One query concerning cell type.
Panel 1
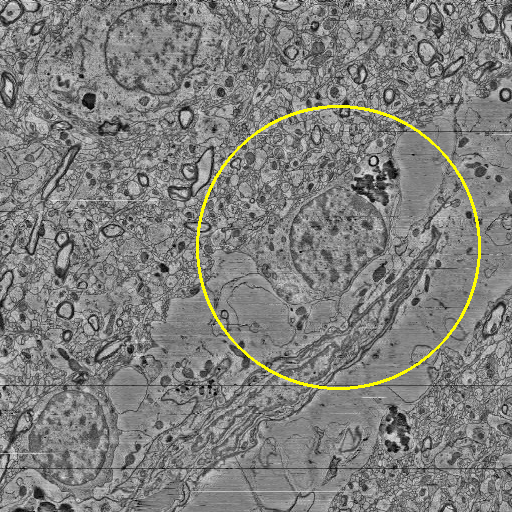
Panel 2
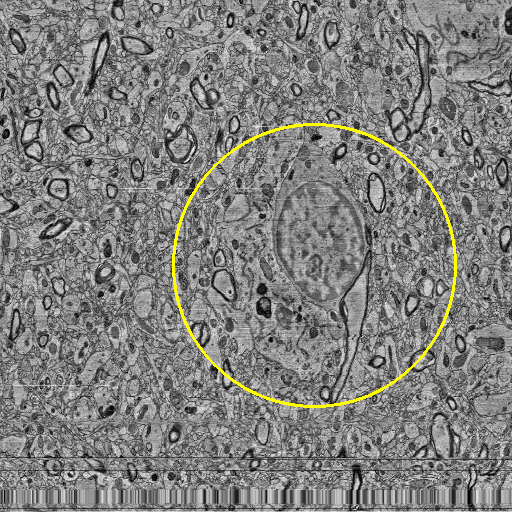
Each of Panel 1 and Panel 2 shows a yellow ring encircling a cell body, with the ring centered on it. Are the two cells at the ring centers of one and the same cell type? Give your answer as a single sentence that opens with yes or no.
Yes, the cell centered in Panel 1 and the one in Panel 2 share a type.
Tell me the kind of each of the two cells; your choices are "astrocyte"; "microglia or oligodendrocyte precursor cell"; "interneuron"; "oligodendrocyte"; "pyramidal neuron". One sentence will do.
Each of the ringed cells, first and second, is an oligodendrocyte.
